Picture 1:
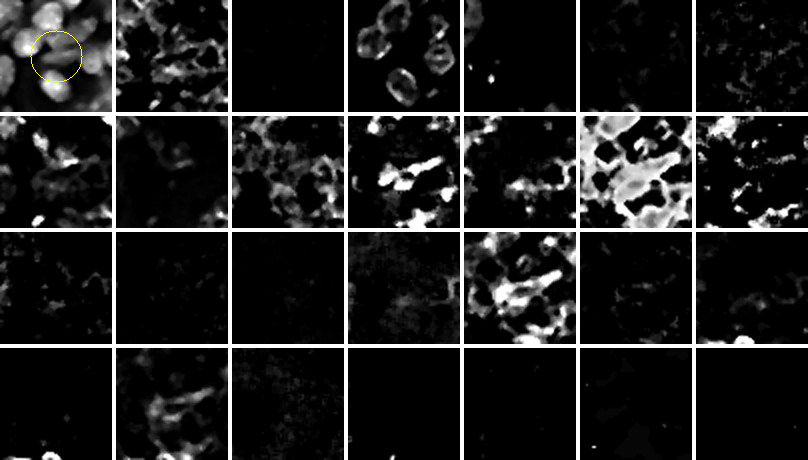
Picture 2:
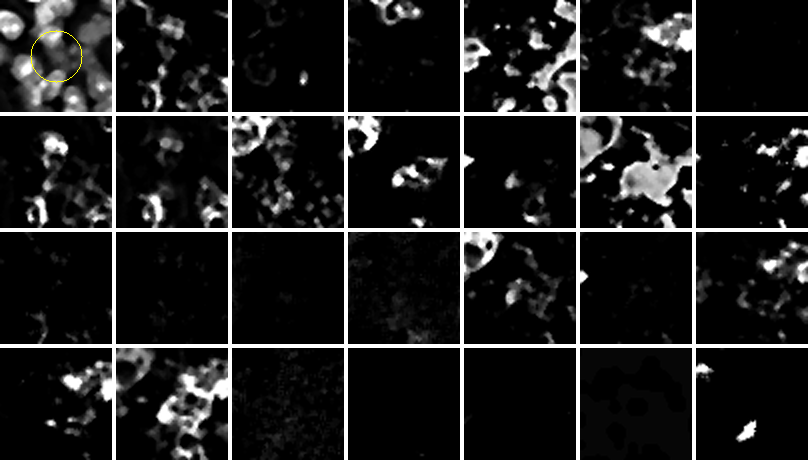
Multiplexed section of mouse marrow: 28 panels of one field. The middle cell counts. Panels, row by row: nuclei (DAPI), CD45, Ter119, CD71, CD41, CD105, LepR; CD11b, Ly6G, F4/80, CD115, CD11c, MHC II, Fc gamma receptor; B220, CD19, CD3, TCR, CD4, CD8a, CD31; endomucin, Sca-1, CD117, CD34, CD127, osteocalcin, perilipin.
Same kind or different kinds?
Same: monocytes.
